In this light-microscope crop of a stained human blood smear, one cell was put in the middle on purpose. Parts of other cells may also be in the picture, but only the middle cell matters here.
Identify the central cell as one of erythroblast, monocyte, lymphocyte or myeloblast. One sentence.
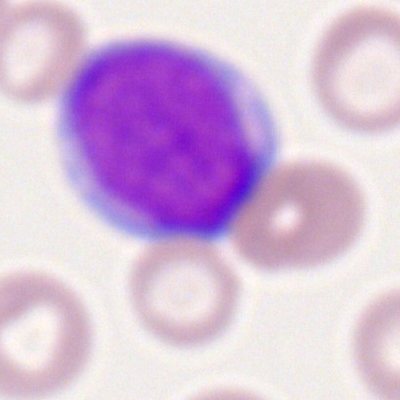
The cell of interest, in the center, is a myeloblast.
